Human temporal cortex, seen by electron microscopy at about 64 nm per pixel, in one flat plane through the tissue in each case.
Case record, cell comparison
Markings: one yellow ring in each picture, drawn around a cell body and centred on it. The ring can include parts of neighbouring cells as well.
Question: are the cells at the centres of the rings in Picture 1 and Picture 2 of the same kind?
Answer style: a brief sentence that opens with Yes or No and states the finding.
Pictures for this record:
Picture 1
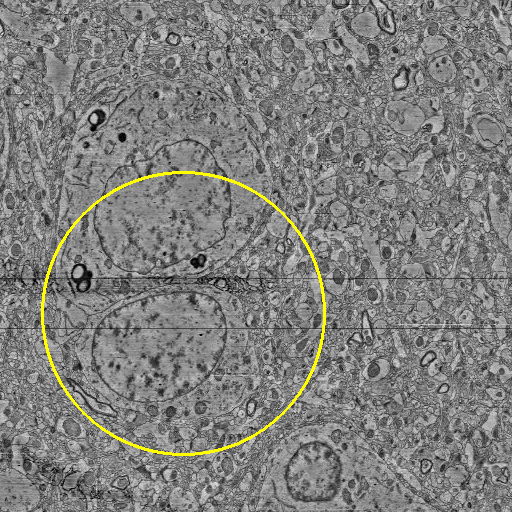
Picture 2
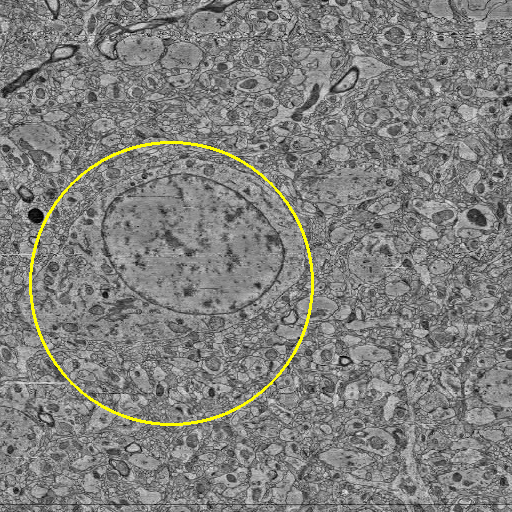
Yes, the cells in Picture 1 and Picture 2 are of the same kind.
